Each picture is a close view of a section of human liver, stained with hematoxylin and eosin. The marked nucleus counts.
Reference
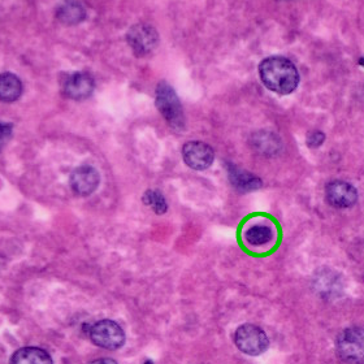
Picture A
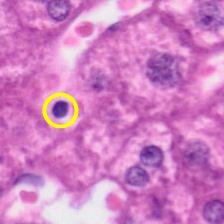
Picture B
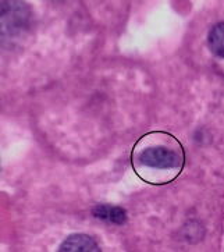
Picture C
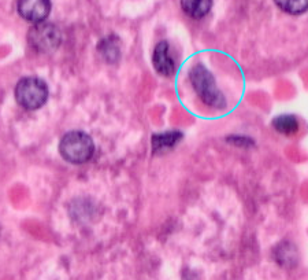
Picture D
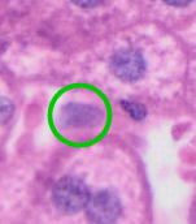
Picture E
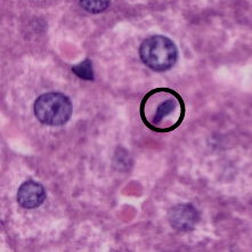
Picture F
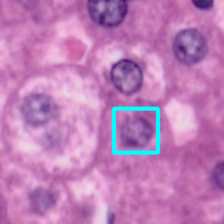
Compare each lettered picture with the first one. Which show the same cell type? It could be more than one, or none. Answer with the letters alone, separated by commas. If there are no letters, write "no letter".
A, E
